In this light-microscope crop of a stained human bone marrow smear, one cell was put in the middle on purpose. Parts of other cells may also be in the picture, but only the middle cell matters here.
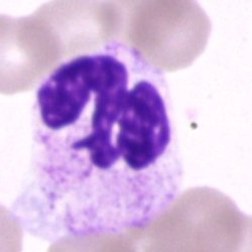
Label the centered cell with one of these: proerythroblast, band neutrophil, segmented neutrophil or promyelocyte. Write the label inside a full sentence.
In short, the cell at the center is a segmented neutrophil.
